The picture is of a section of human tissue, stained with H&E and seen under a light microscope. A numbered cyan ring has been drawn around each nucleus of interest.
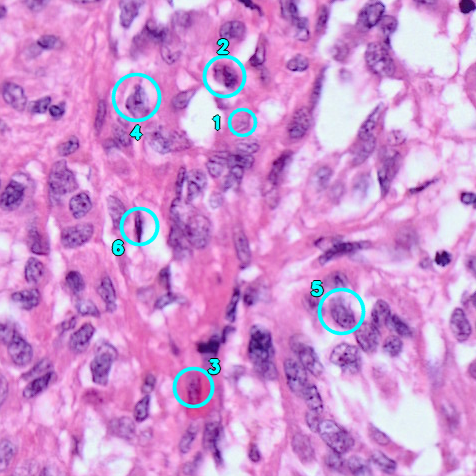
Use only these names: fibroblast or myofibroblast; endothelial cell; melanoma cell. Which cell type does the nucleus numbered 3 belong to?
endothelial cell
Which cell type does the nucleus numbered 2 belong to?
melanoma cell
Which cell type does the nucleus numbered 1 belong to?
melanoma cell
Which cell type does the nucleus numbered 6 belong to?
fibroblast or myofibroblast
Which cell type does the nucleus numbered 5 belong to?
melanoma cell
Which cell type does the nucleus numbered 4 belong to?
melanoma cell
